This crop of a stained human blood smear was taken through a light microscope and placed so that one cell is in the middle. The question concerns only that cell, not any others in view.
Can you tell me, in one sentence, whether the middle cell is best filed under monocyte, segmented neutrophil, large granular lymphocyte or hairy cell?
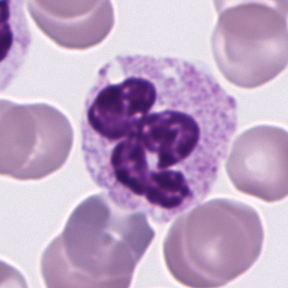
The centrally positioned cell in the crop represents a segmented neutrophil.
